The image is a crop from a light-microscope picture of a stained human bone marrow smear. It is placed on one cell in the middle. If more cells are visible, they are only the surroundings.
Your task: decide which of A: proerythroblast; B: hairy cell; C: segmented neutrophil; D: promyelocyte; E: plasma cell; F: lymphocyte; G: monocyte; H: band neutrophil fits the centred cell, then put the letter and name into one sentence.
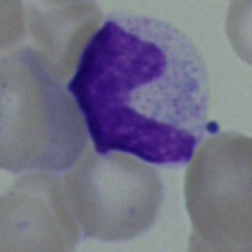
The cell at the centre is a band neutrophil, and option H accordingly is correct.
